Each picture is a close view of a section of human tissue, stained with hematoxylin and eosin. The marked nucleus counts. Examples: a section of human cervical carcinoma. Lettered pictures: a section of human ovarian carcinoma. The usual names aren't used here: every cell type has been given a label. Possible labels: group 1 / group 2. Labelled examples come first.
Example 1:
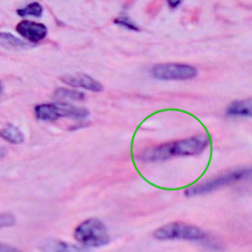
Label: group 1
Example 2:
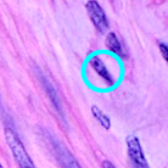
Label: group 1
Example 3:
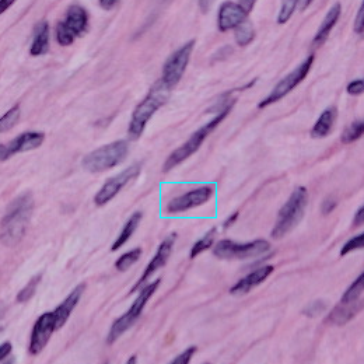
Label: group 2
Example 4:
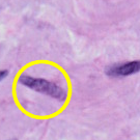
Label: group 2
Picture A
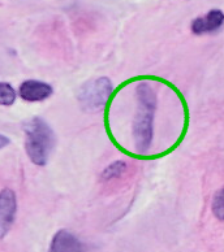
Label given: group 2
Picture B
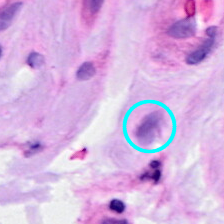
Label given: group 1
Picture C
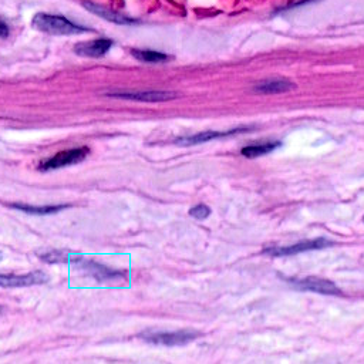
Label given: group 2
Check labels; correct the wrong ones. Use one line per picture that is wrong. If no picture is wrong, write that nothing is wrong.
B: not group 1 but group 2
